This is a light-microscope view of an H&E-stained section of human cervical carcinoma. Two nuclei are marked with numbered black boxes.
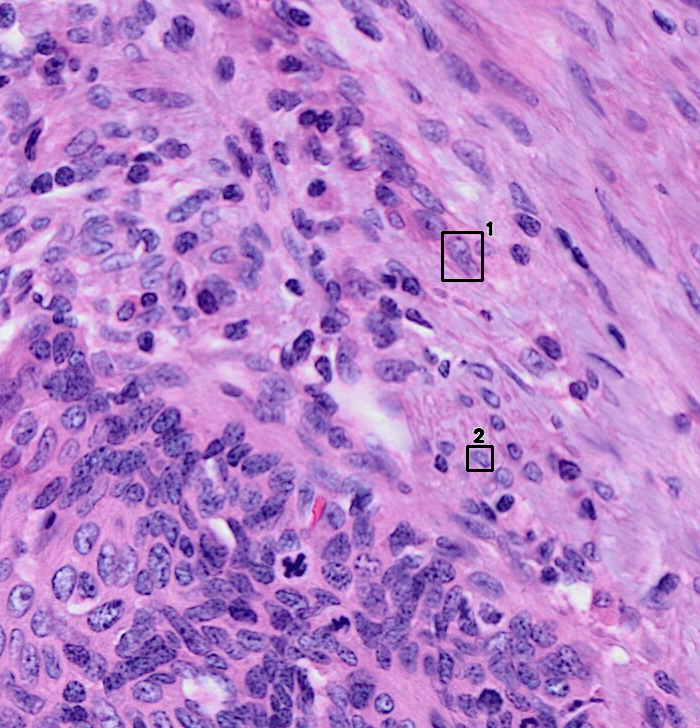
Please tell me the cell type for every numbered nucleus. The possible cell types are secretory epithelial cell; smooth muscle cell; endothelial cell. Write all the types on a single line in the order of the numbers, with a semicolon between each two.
endothelial cell; smooth muscle cell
